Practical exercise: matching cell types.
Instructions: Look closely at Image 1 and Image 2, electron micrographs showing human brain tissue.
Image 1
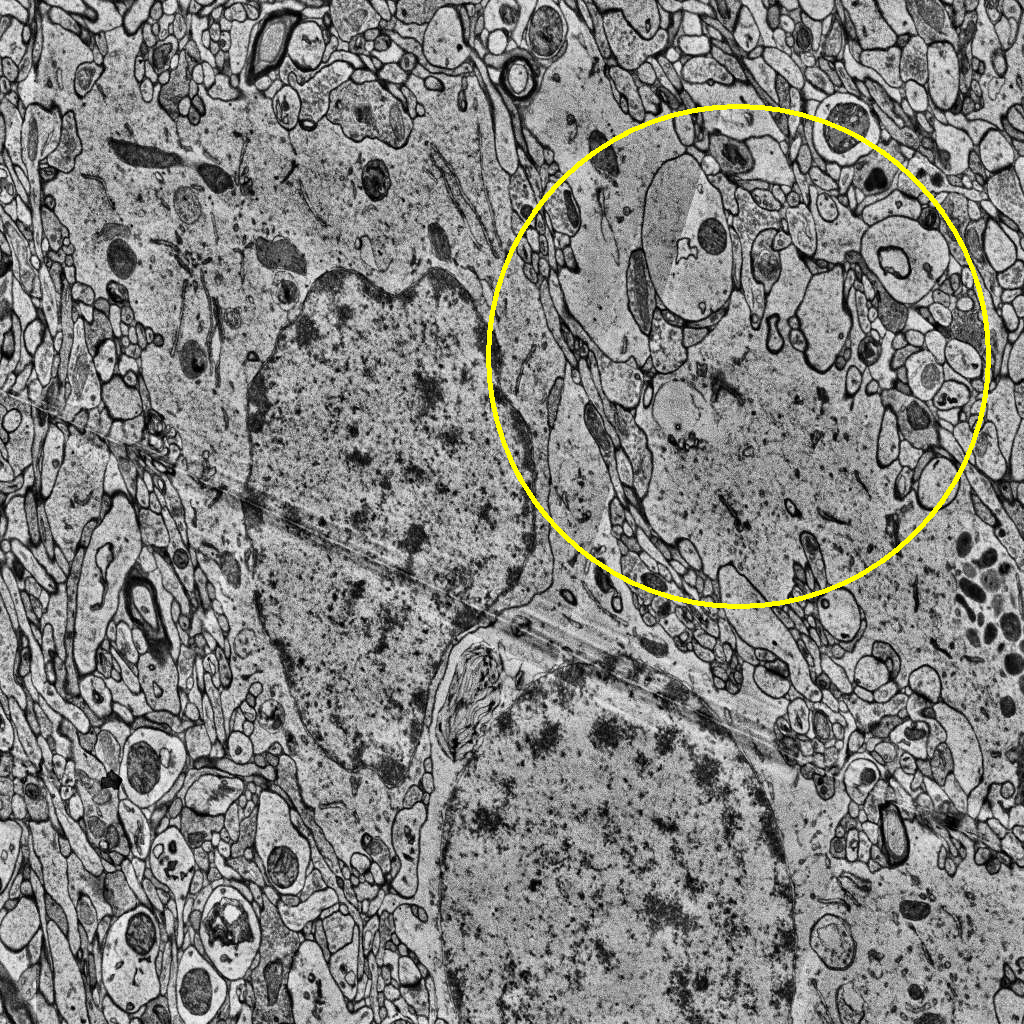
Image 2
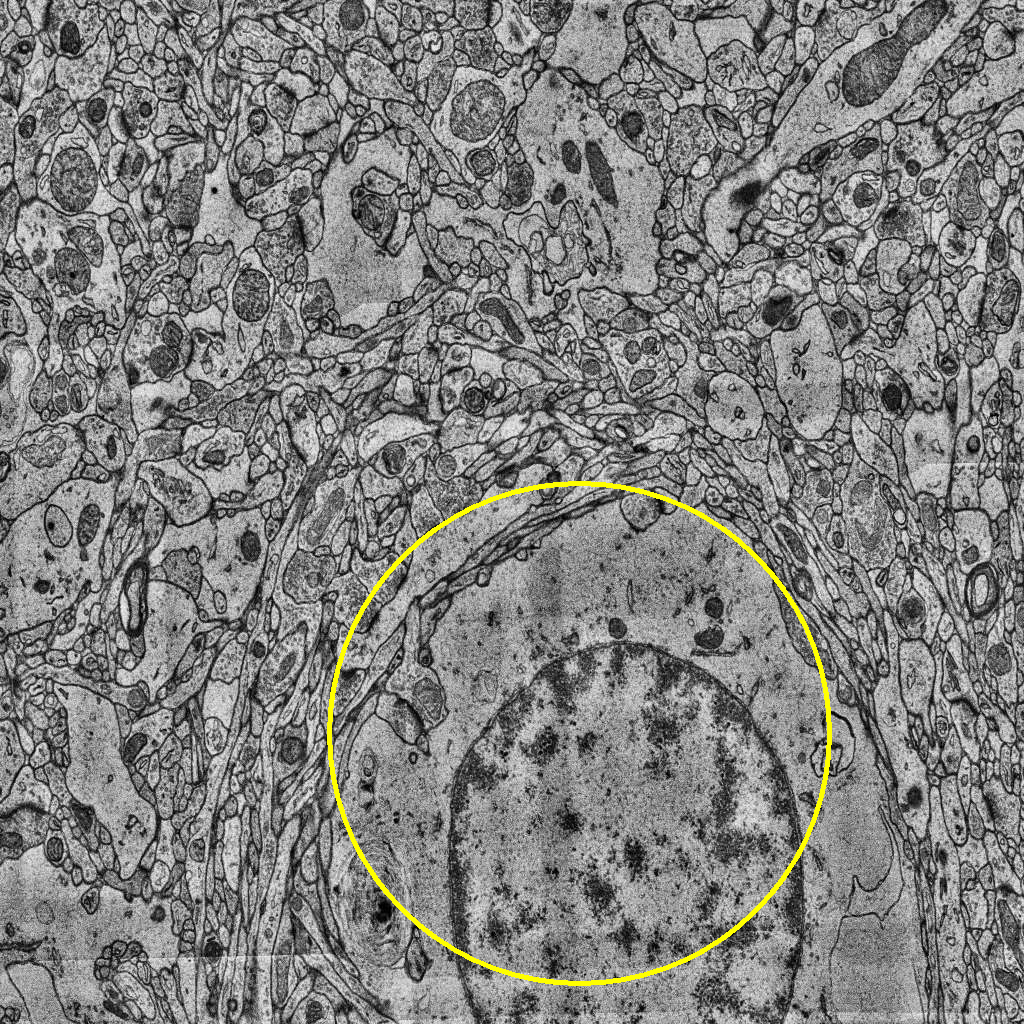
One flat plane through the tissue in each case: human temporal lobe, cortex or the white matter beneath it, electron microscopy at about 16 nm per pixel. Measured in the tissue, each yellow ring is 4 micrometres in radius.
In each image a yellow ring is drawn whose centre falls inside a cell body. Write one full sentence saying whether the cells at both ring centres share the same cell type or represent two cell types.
Across Image 1 and Image 2, the cells at the ring centres share the same cell type.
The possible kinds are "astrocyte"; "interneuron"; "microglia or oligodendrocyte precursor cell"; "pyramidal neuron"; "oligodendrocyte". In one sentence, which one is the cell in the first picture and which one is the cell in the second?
The second cell is an astrocyte, just as the first is.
